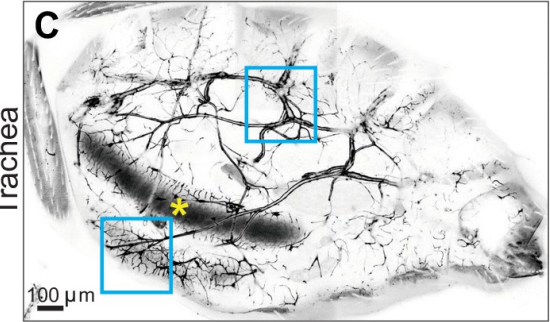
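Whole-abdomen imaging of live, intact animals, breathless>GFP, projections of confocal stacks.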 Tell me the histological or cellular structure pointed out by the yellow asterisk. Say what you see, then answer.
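The asterisk lies on a broad, diffuse dark band running lengthwise. The band has no branching pattern, unlike the tubes around it.
Hence: Ingested food.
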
